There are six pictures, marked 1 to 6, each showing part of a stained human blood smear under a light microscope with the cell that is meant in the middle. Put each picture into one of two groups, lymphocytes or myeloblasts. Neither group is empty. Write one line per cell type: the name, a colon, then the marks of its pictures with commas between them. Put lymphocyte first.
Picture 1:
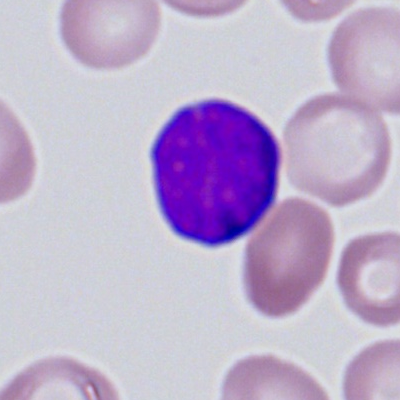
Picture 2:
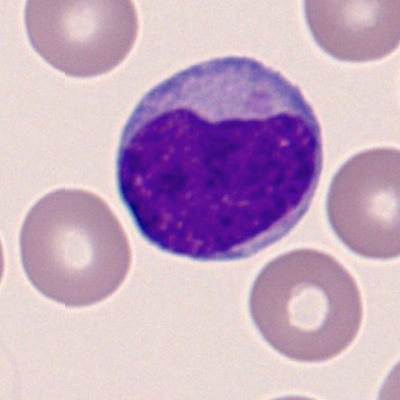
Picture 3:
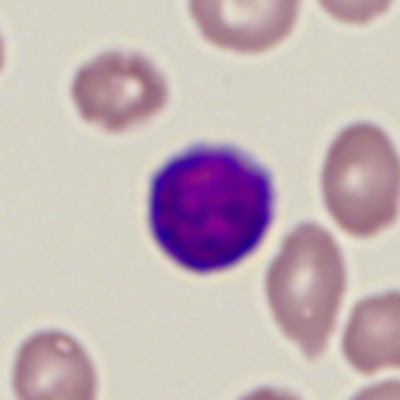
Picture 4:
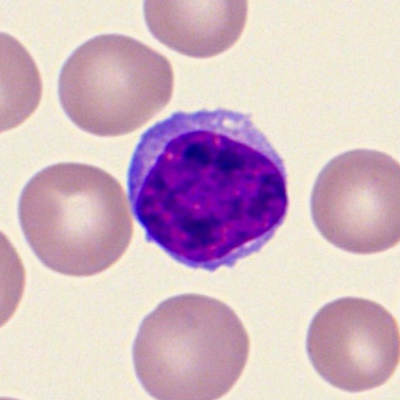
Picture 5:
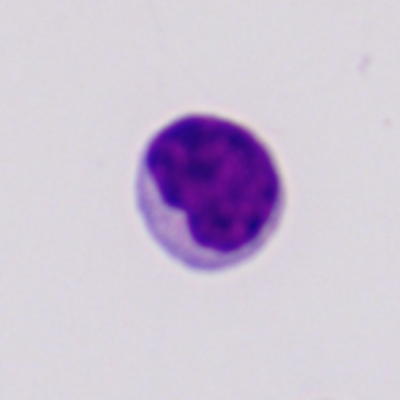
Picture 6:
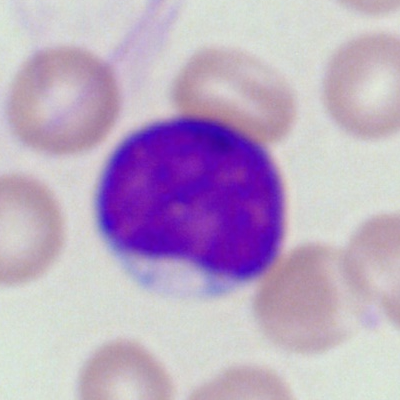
lymphocyte: 3, 4, 5
myeloblast: 1, 2, 6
